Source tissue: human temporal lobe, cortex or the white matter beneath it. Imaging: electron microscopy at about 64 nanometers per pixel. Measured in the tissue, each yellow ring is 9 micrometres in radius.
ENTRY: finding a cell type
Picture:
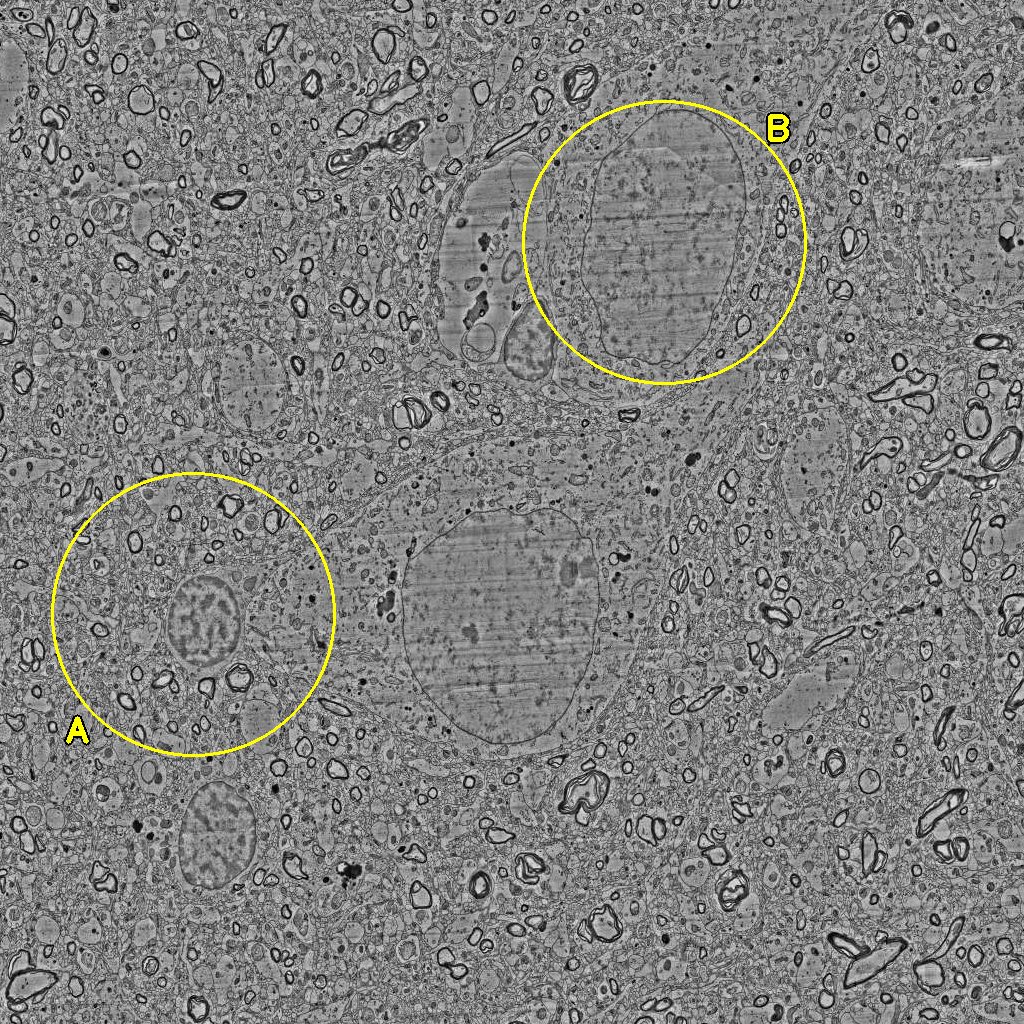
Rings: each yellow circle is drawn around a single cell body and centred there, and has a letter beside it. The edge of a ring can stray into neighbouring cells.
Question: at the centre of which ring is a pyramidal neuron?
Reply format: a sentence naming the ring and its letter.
The answer is ring B, the one centred on the cell asked for.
